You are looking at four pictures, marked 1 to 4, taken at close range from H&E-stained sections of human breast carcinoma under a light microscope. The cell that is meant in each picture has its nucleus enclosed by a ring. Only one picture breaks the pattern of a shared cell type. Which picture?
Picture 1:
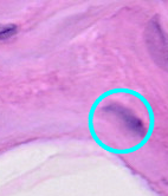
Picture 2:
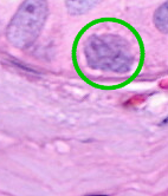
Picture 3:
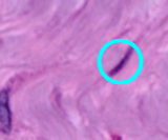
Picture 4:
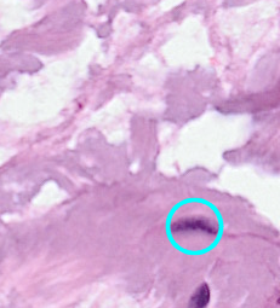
2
